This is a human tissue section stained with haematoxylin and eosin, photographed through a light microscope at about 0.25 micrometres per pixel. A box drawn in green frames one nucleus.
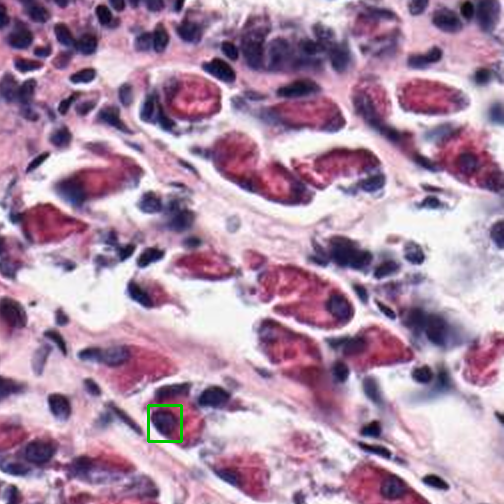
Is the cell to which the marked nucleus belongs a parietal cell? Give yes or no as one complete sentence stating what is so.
Yes, in this image it is a parietal cell that contains the marked nucleus.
